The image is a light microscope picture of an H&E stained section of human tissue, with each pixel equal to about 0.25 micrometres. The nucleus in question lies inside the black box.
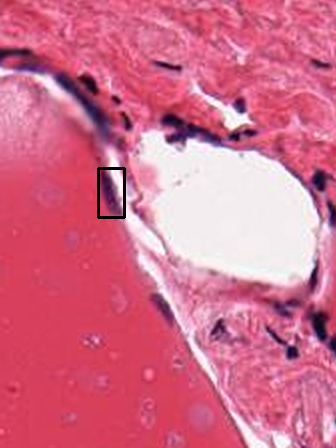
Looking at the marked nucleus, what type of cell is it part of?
thyroid follicular cell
